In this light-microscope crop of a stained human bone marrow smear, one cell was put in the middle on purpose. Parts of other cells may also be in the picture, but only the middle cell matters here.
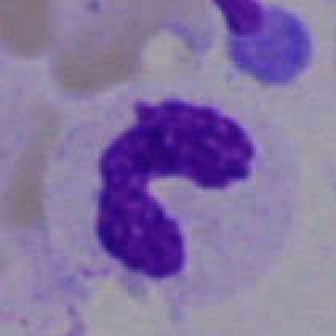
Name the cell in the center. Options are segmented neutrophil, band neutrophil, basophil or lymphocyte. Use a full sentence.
The cell at the heart of this crop is a segmented neutrophil.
